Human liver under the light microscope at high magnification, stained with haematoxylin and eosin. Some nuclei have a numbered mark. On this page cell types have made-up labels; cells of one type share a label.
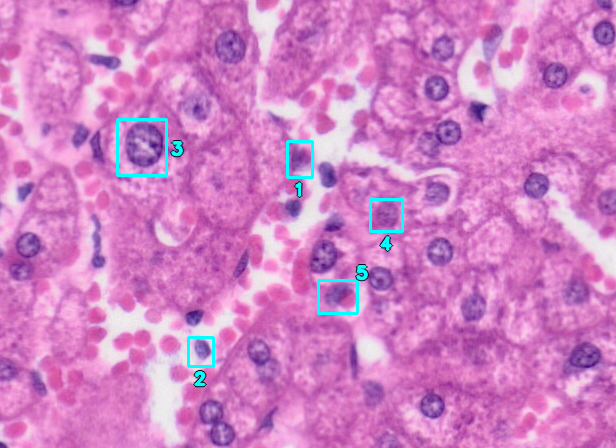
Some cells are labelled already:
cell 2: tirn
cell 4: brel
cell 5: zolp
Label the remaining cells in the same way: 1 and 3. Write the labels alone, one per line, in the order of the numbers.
zolp
brel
